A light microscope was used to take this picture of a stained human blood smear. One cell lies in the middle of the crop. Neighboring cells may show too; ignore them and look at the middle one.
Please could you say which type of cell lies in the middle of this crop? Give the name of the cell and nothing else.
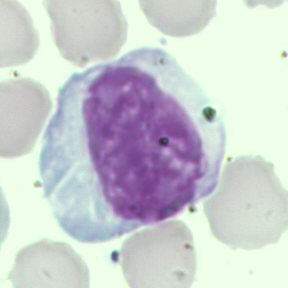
plasma cell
